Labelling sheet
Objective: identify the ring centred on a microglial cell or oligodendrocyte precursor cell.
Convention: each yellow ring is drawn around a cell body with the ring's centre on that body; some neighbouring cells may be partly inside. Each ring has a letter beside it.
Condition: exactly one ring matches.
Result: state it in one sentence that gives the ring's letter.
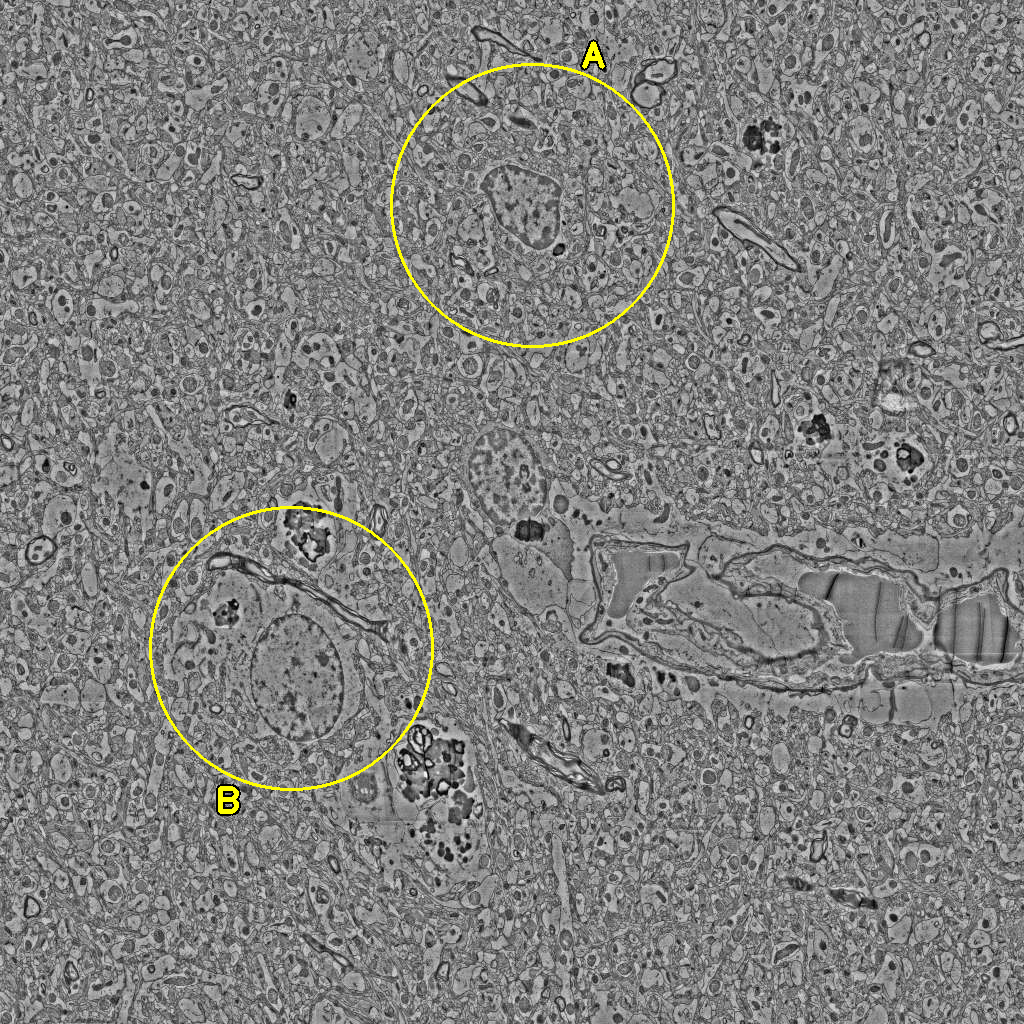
It lies at the centre of ring A.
